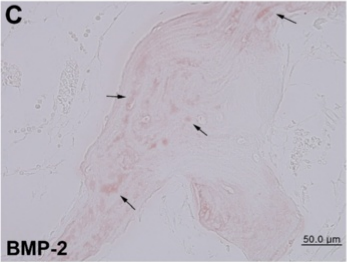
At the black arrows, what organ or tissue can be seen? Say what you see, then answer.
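A branching strand of dense matrix crosses the field. Faint brown-pink stain lies along it where the arrows point. So: trabecular bone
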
